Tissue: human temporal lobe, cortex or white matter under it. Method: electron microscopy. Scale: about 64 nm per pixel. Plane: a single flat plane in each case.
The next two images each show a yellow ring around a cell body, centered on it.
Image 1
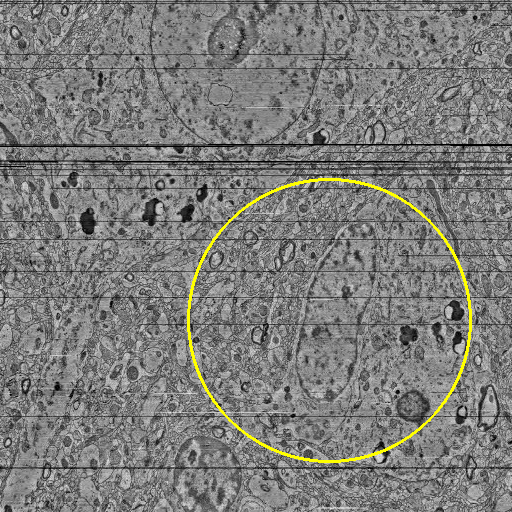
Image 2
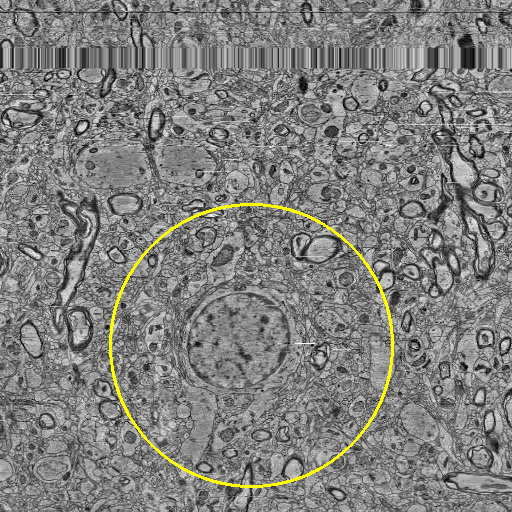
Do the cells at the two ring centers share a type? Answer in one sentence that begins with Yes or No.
Yes, across the two images the cells at the ring centers share one type.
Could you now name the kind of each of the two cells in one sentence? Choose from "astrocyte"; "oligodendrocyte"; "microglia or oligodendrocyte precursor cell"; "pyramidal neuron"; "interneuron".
The cell in the first picture is a microglial cell or oligodendrocyte precursor cell, and so is the one in the second.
